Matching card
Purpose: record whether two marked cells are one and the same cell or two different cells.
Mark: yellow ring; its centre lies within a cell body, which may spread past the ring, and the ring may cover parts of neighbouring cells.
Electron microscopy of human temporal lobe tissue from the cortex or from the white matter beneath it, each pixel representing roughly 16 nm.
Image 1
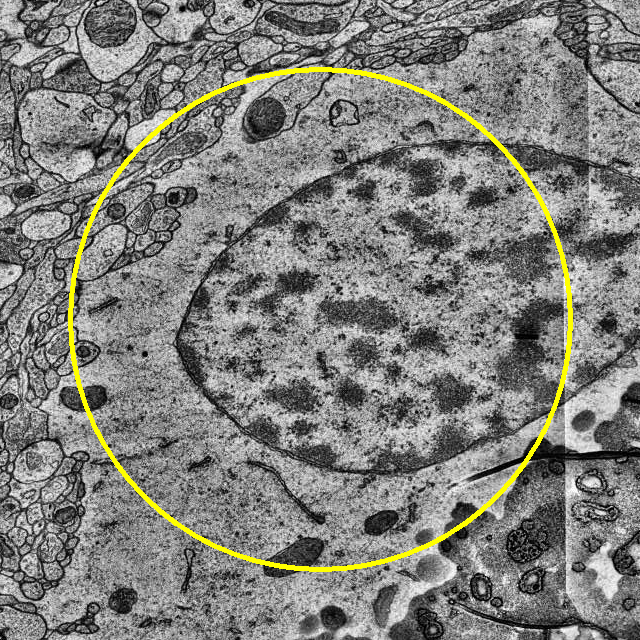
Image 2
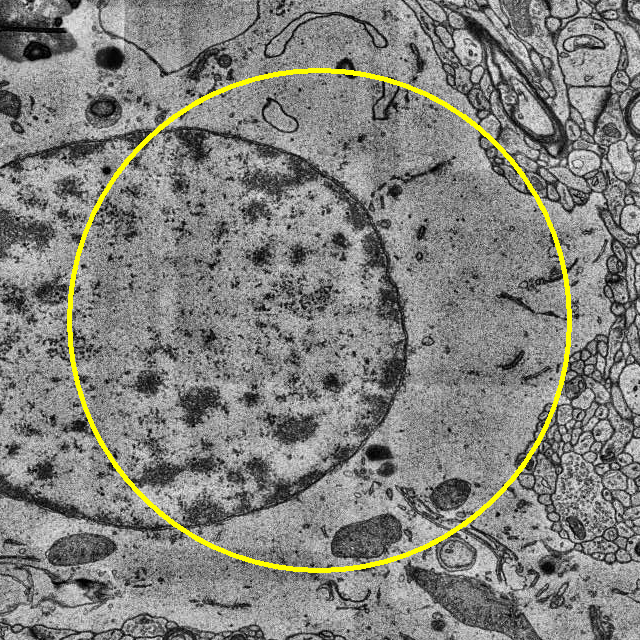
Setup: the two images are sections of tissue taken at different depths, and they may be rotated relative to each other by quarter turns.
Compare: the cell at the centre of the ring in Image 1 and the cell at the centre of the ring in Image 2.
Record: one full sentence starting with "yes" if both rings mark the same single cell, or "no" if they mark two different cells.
No, the two yellow rings surround two different cells.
